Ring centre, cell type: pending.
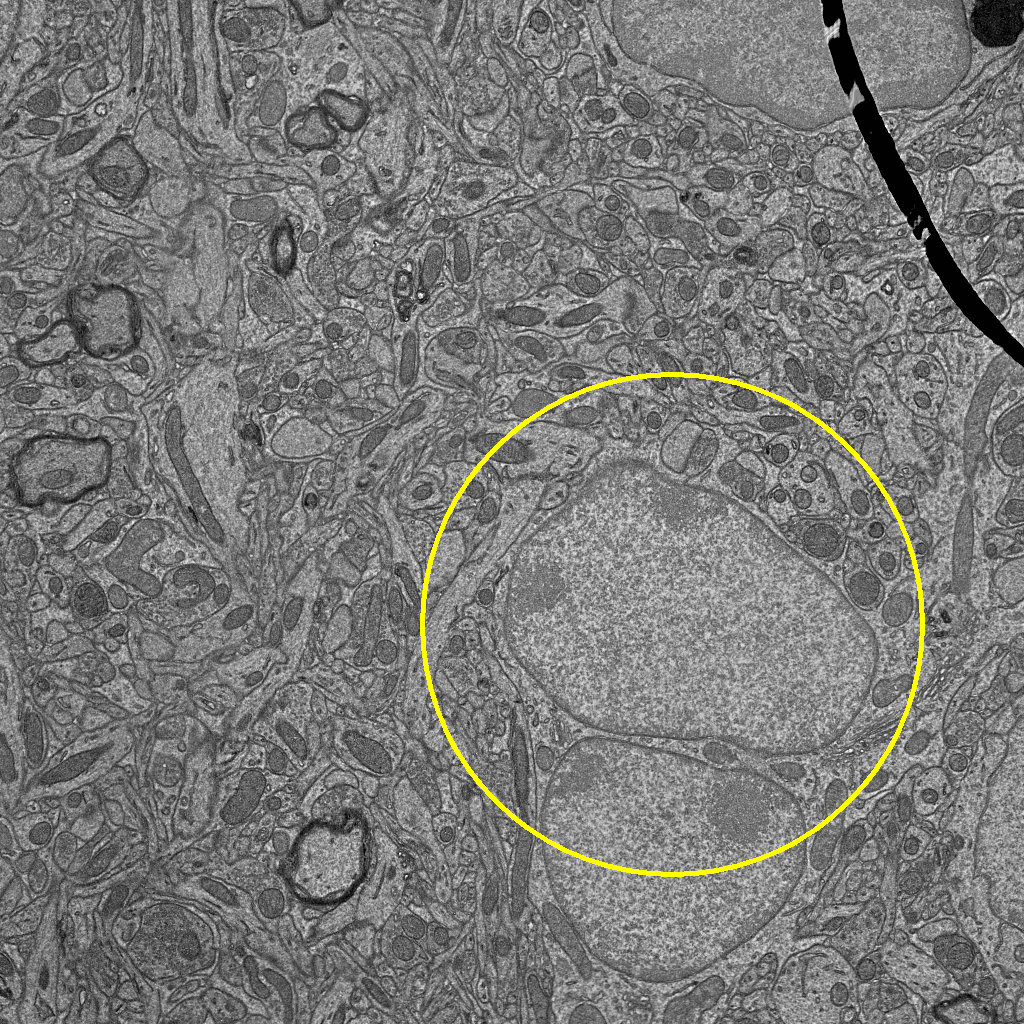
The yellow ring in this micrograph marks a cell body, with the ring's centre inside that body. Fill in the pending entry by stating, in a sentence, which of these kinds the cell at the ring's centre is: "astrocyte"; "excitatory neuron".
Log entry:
The cell at the ring's centre is recorded as an astrocyte.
